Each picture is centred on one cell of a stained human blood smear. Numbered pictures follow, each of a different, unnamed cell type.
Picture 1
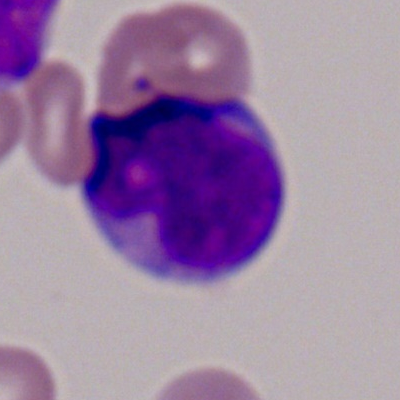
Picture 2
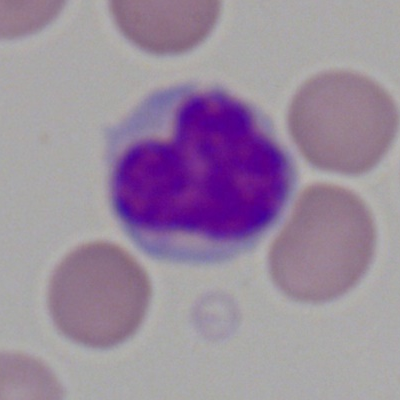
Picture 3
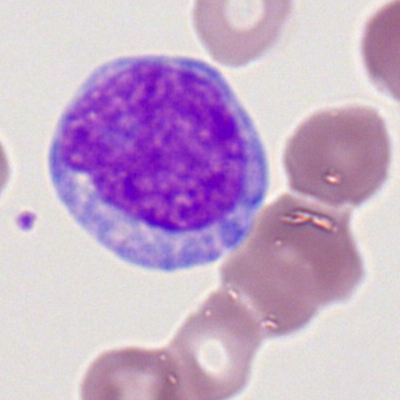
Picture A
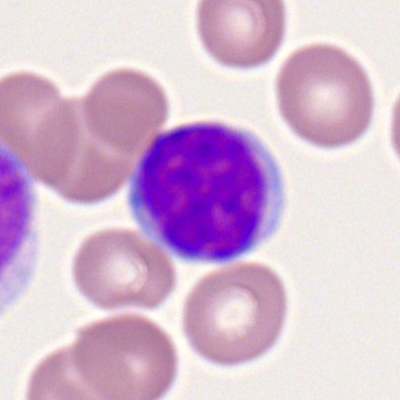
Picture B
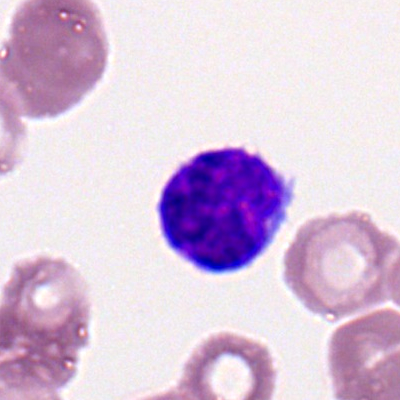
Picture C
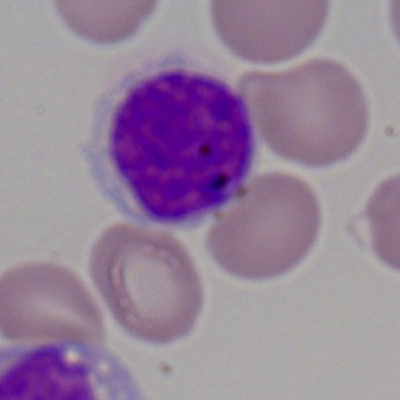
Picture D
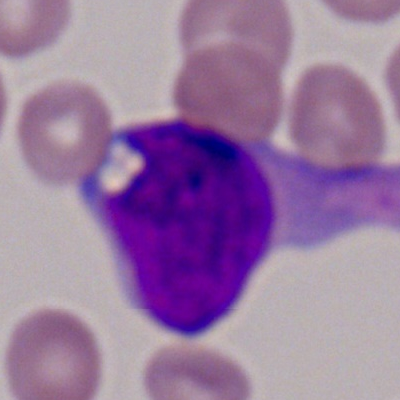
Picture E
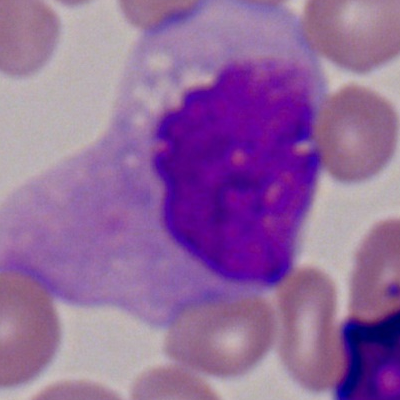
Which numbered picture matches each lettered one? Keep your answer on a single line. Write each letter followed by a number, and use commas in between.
A 2, B 2, C 2, D 1, E 3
